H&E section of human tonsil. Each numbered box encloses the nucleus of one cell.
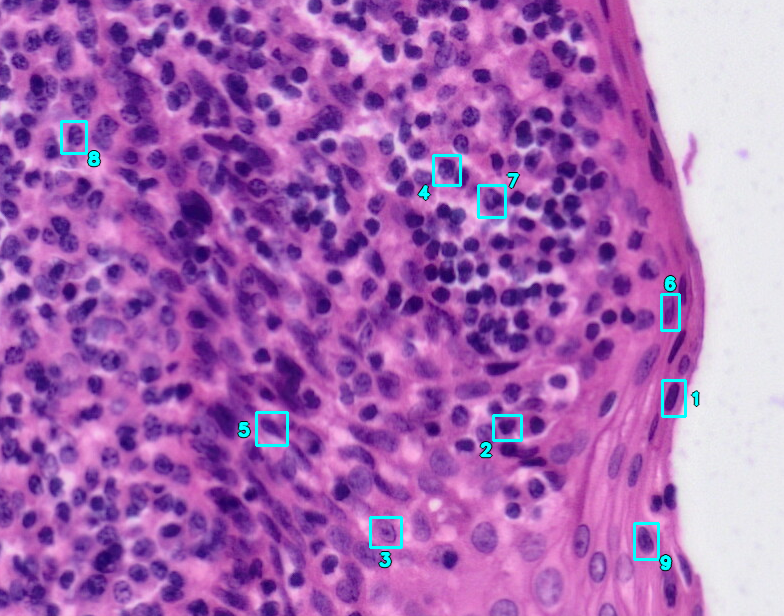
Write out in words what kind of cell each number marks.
Cells 1, 3, 5, 6 and 9 are squamous epithelial cells. Cells 2, 4, 7 and 8 are plasma cells.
